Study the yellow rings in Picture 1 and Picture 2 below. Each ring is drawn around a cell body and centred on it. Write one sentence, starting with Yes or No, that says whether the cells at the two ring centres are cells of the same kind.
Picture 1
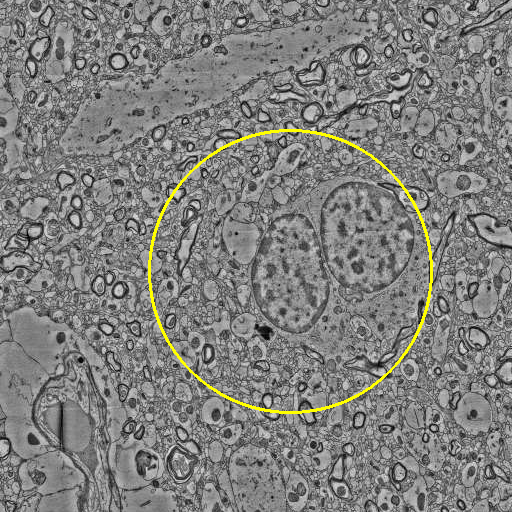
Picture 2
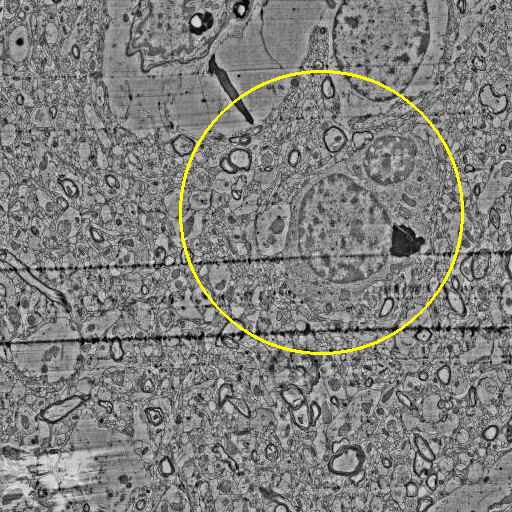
Yes, the cells at both ring centres are of the same kind.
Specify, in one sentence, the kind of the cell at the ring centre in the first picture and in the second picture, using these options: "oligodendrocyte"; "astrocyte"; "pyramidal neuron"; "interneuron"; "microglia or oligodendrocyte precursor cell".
Each cell, in the first picture and the second, is an oligodendrocyte.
